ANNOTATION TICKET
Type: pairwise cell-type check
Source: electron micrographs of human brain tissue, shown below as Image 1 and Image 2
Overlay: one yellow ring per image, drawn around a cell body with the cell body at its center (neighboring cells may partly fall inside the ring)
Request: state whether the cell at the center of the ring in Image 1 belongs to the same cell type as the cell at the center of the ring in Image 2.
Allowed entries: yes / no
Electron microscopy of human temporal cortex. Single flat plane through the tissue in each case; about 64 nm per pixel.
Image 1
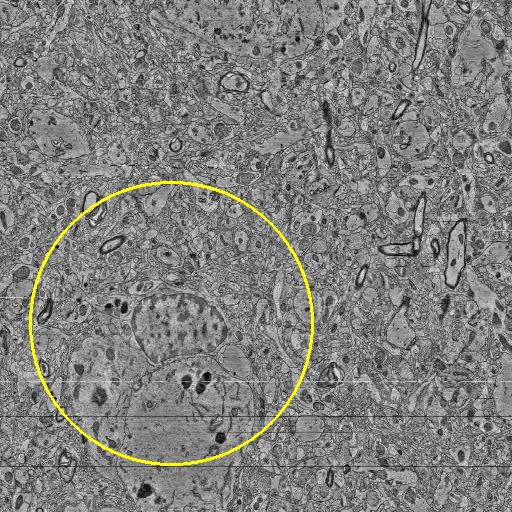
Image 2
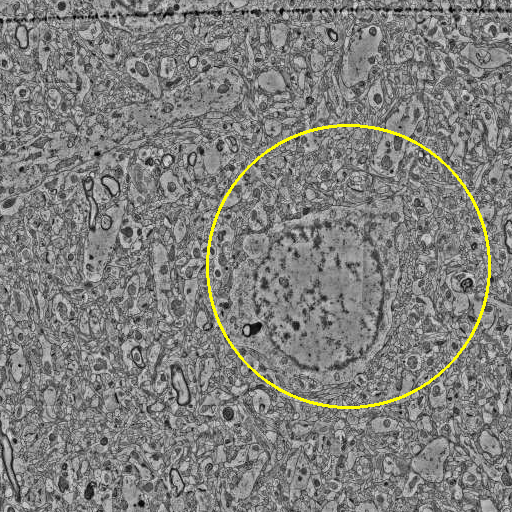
no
